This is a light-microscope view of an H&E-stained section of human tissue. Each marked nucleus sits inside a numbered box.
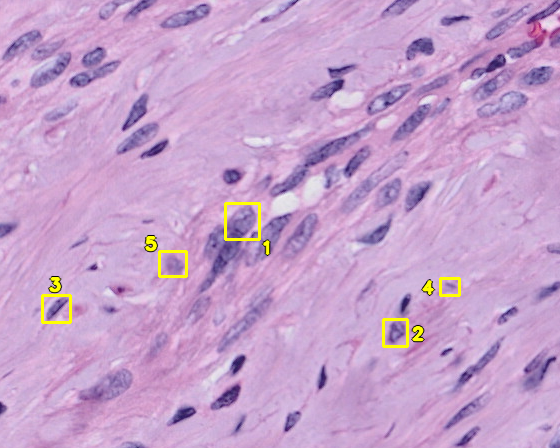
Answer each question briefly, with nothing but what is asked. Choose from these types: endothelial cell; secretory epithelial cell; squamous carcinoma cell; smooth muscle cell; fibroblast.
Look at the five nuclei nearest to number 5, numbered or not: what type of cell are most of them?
endothelial cell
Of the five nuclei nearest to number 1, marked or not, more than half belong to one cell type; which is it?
endothelial cell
